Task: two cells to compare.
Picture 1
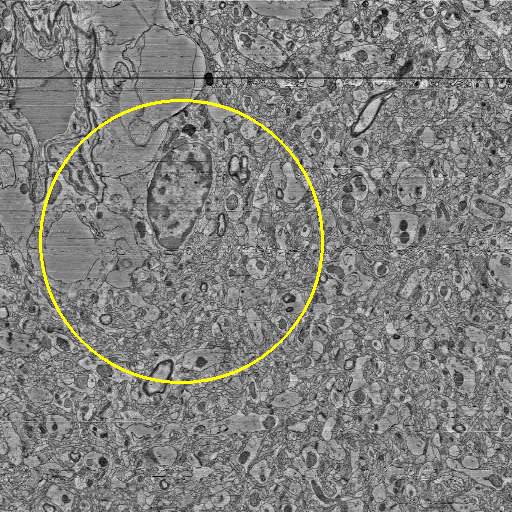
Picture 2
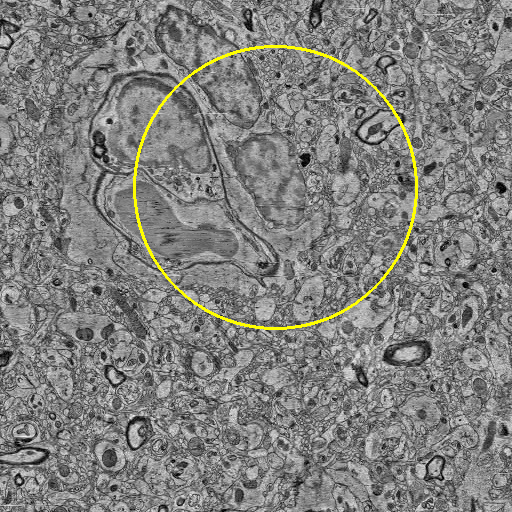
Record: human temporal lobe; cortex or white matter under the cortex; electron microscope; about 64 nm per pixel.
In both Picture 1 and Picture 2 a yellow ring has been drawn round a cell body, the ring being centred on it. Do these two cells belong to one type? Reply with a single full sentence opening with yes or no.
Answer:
No, the two cells at the ring centres in Picture 1 and Picture 2 are of two types.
